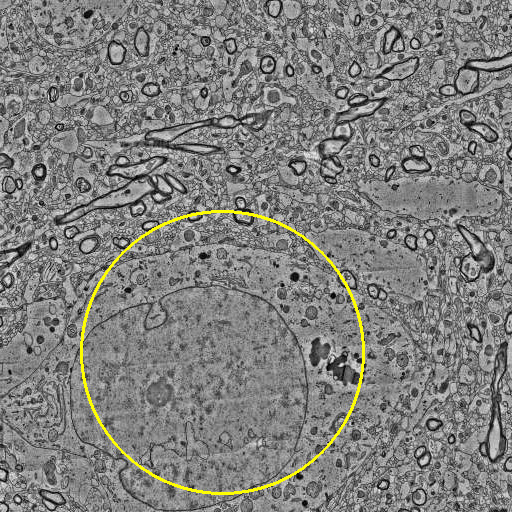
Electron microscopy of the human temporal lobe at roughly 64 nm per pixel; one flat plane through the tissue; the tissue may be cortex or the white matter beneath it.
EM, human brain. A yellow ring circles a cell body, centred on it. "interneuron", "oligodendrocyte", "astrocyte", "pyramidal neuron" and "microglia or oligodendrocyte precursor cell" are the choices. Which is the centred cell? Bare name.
pyramidal neuron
